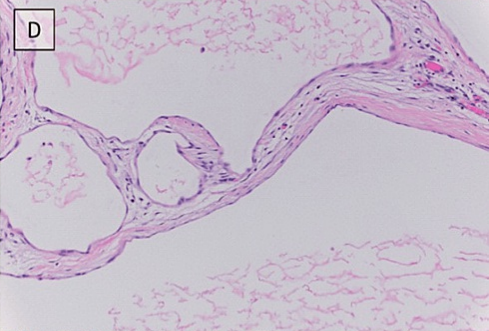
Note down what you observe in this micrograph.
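This is a cystic lesion in which several cysts are separated by thin walls of fibrous tissue. The cysts are lined by a single layer of flattened cells whose small dark purple nuclei lie along the inner surface of each wall. The walls between cysts are made of pink fibrous tissue with scattered spindle-shaped nuclei and a few small blood vessels holding red blood cells. The lining nuclei look bland and uniform, with no enlarged or irregular forms to be seen.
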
